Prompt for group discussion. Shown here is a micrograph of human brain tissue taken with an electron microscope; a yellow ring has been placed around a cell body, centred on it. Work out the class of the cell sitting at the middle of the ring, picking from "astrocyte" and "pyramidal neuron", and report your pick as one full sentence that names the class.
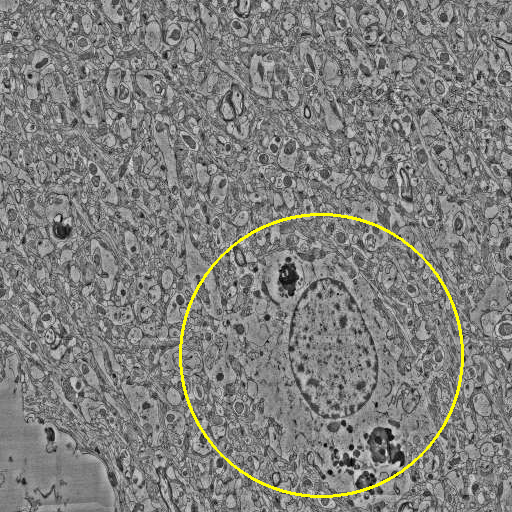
The cell sitting at the middle of the yellow ring is an astrocyte.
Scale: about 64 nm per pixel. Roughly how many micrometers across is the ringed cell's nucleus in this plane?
The nucleus is approximately 9 micrometres long but only about 6 wide, clearly longer than it is wide in this plane.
